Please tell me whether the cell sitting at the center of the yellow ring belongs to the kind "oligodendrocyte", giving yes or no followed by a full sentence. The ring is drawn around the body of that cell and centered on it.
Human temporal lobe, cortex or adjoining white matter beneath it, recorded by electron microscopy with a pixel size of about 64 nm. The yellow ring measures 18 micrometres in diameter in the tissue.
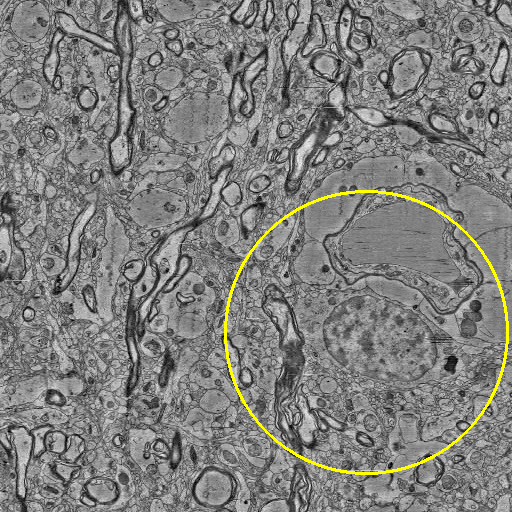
Yes, the cell at the center of the ring in the picture is of that kind.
